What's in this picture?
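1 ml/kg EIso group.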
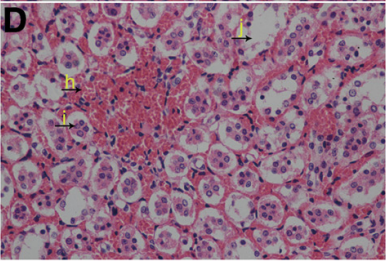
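Renal cortex with closely packed tubules showing marked injury. A large patch of densely packed red blood cells fills the space between tubules near the centre, an interstitial hemorrhage. Many tubules have pale, widened lumens, and their epithelial cells appear swollen and pale, with round blue nuclei. In several tubules epithelial cells appear detached from the wall and lie loose in the lumen. The tubular cross-sections appear rounded and crowded across the field.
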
